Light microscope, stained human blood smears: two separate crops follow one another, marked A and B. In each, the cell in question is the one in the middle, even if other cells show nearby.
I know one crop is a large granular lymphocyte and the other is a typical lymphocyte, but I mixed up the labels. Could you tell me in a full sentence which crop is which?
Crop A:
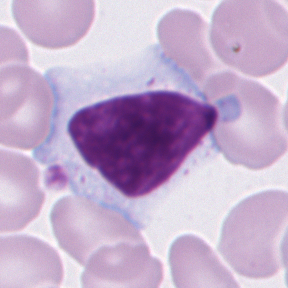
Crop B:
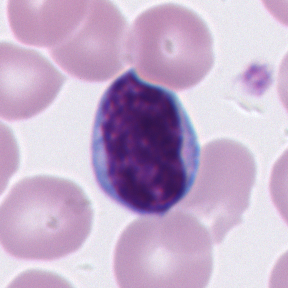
In crop A the cell is a large granular lymphocyte, while in crop B it is a typical lymphocyte.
